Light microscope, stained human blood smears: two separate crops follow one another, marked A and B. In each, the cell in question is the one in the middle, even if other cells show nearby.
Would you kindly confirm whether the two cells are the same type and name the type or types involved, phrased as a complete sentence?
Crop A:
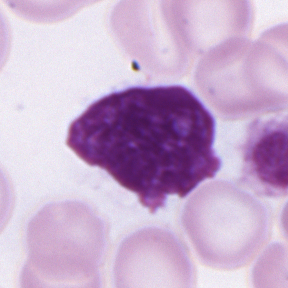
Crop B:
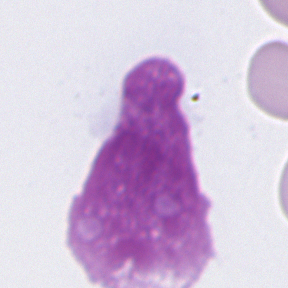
Yes, what both crops show at their centres are smudge cells.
